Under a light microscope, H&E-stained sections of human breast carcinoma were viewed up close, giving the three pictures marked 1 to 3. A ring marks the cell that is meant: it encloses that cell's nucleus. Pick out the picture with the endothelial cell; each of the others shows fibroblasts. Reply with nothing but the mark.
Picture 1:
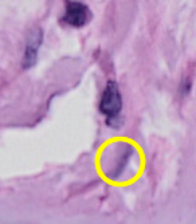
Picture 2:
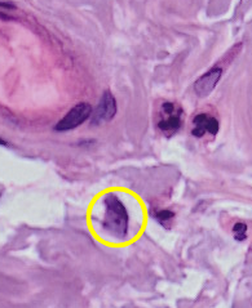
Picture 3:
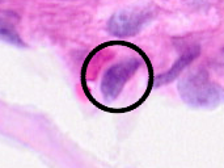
3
